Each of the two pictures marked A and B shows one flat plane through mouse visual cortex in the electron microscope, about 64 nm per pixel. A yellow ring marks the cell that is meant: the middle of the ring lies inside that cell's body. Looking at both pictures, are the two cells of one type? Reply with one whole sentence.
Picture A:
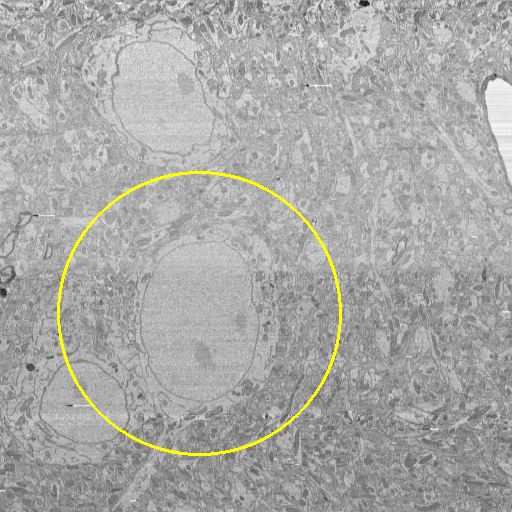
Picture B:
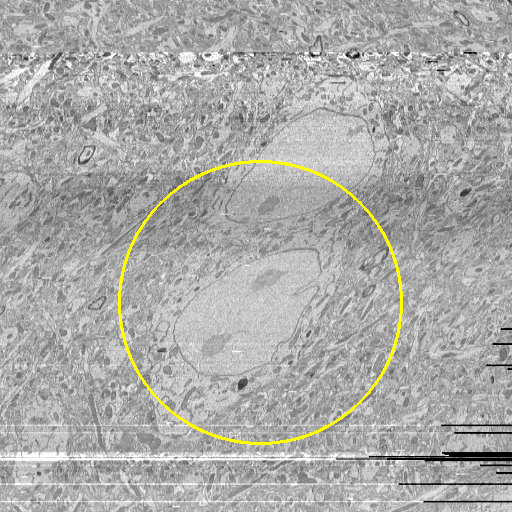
Yes, both are excitatory neurons.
